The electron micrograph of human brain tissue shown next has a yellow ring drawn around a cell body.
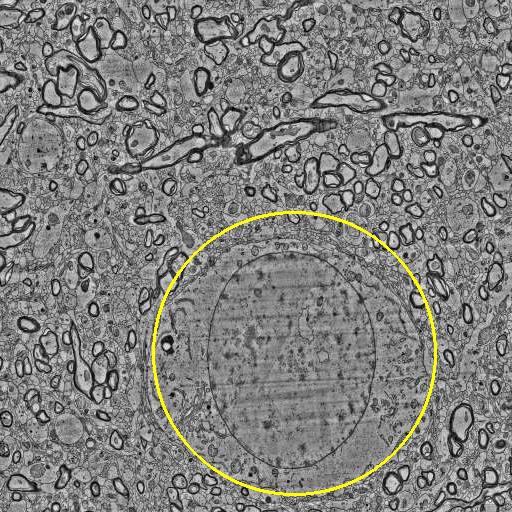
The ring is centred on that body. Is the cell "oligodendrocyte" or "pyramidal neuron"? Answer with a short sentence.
The cell in question is a pyramidal neuron.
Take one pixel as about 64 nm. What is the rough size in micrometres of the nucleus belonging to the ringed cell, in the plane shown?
Approximately 14 by 11 micrometers in this plane.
